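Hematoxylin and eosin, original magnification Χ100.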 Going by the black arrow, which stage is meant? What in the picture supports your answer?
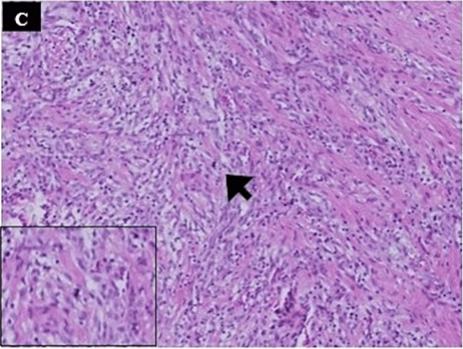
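The arrow points to a single cell among fascicles of spindle cells. The marked cell has darker, condensed nuclear material.
Mitosis.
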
